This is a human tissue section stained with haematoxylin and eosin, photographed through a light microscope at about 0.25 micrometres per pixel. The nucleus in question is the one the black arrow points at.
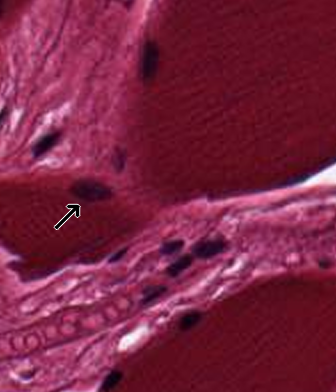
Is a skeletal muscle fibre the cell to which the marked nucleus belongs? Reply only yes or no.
yes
